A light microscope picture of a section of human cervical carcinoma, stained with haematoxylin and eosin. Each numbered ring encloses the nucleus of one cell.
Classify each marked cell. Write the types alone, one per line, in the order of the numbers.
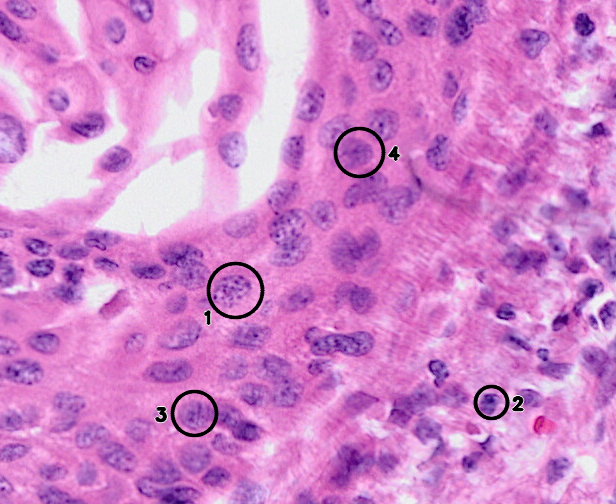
squamous carcinoma cell
lymphocyte
squamous carcinoma cell
squamous carcinoma cell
